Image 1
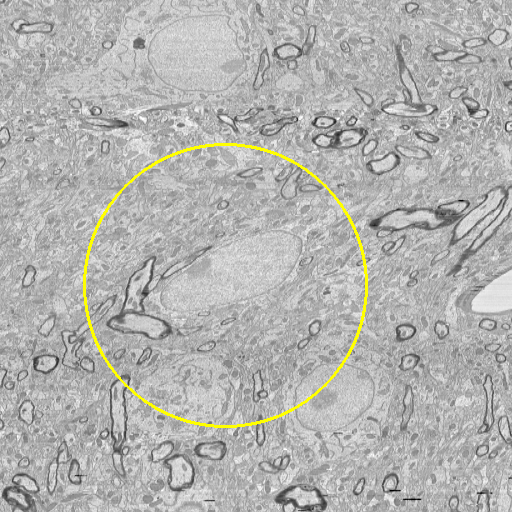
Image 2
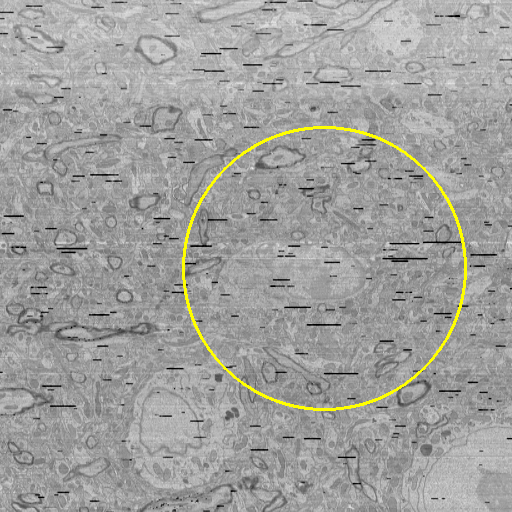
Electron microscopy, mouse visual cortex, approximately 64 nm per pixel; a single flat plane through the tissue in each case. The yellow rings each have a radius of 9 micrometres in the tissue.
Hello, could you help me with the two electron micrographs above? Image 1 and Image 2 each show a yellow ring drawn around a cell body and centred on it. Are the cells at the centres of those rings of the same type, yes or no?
no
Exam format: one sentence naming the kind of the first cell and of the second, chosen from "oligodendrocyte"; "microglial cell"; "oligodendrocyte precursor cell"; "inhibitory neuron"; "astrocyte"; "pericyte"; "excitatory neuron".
The first picture's cell is an astrocyte, and the second picture's cell is an oligodendrocyte.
